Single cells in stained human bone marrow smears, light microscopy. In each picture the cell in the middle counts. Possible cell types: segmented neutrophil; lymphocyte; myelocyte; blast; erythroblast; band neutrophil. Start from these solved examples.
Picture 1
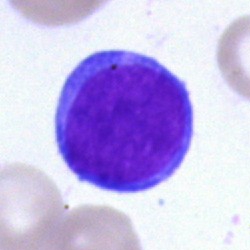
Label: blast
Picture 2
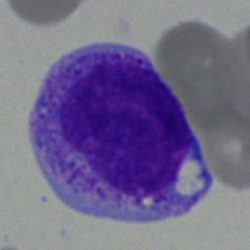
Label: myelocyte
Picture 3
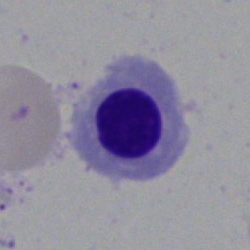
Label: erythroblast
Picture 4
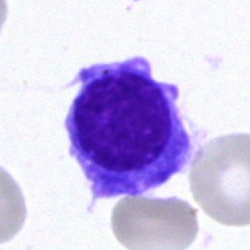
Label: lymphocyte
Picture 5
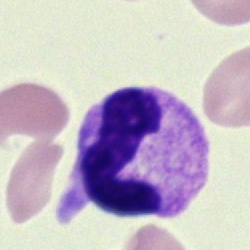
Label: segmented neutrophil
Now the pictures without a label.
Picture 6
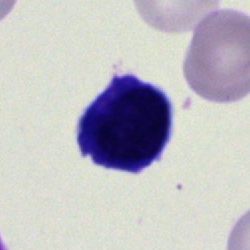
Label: lymphocyte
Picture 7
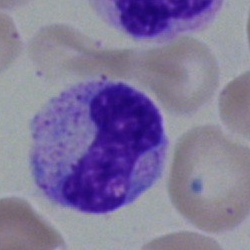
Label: band neutrophil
